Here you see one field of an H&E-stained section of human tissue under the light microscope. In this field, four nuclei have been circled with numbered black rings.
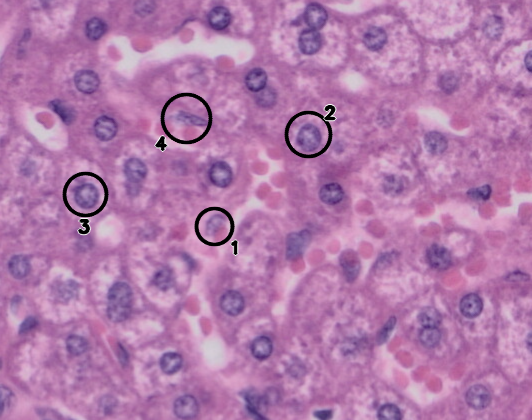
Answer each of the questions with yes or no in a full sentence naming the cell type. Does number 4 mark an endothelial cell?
Yes, with respect to number 4, the cell is an endothelial cell.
